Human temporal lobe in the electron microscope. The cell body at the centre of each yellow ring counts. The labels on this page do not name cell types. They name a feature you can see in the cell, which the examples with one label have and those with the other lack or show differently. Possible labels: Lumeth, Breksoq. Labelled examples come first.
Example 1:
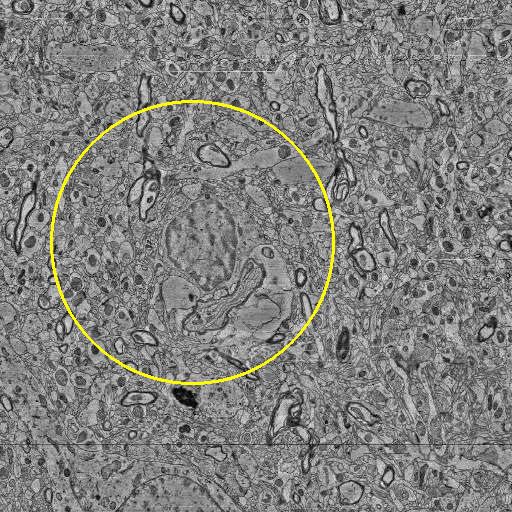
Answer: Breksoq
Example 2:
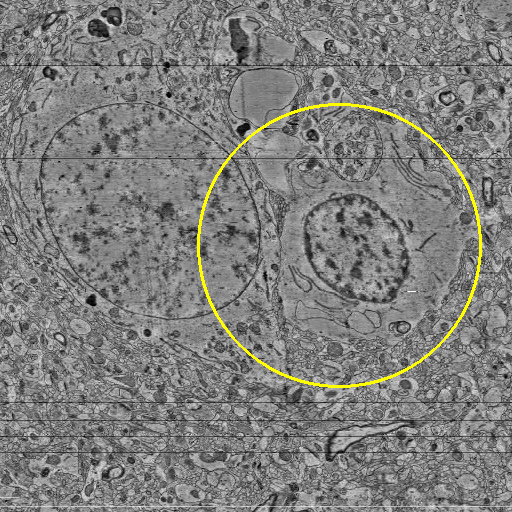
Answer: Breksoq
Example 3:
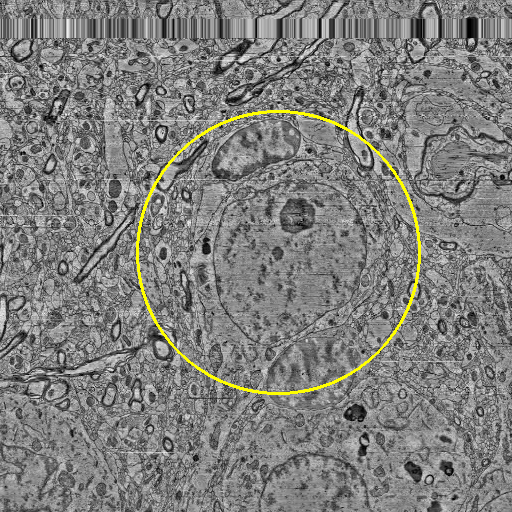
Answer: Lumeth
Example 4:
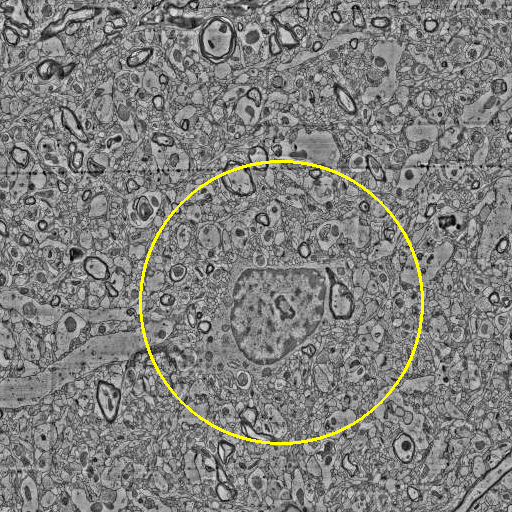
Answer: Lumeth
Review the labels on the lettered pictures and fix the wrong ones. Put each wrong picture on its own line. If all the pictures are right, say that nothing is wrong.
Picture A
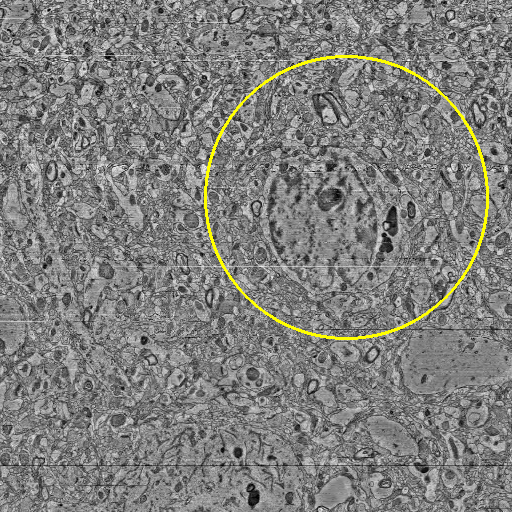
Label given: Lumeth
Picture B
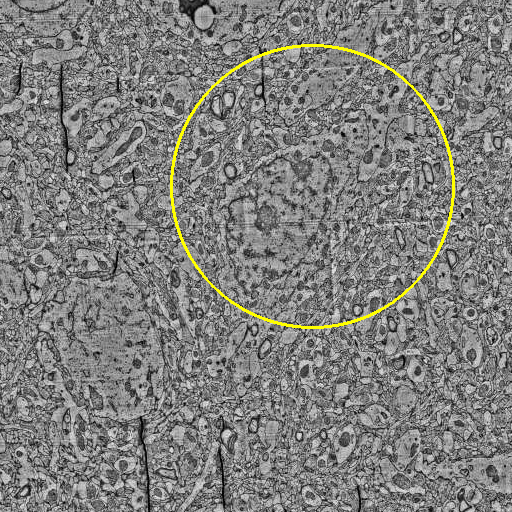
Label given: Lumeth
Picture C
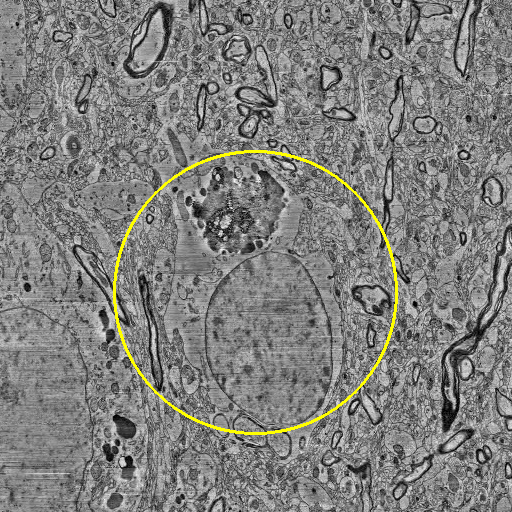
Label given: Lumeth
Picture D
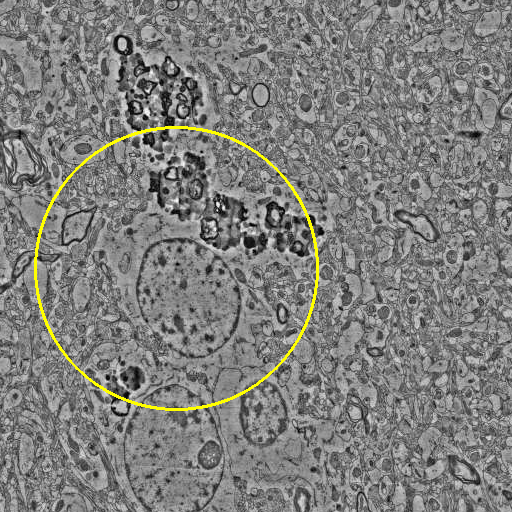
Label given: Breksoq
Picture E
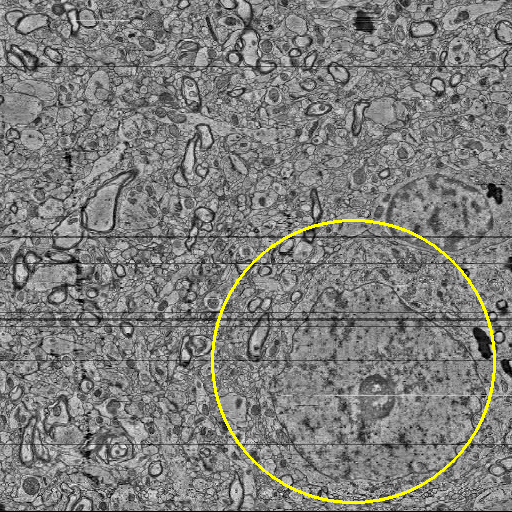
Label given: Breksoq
Wrong: C (Lumeth); correct: Breksoq
Wrong: E (Breksoq); correct: Lumeth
